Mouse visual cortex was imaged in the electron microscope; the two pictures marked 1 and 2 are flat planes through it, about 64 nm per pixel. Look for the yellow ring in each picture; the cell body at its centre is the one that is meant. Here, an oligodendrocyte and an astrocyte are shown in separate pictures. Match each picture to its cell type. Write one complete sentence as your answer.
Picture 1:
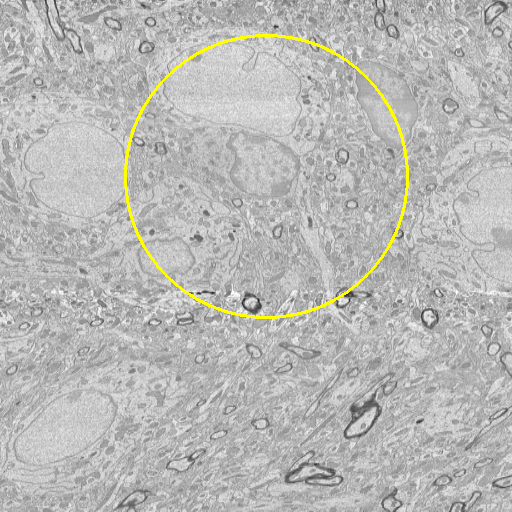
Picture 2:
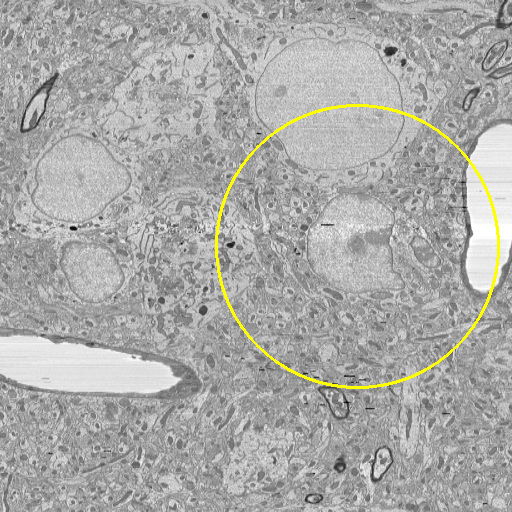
Picture 1 shows an oligodendrocyte and picture 2 shows an astrocyte.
